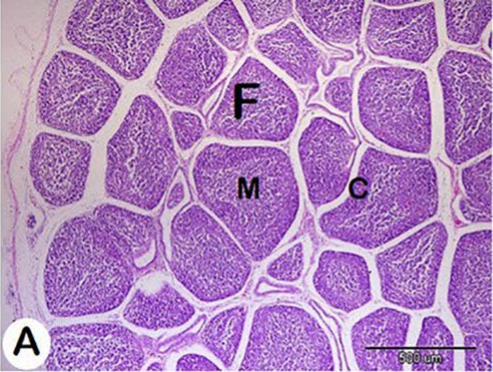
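Bursa with many closely packed polygonal lymphoid follicles, each densely filled with small purple-staining lymphoid cells. The follicles are separated by thin pale connective tissue septa, and a thin connective tissue covering runs along the left edge.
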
